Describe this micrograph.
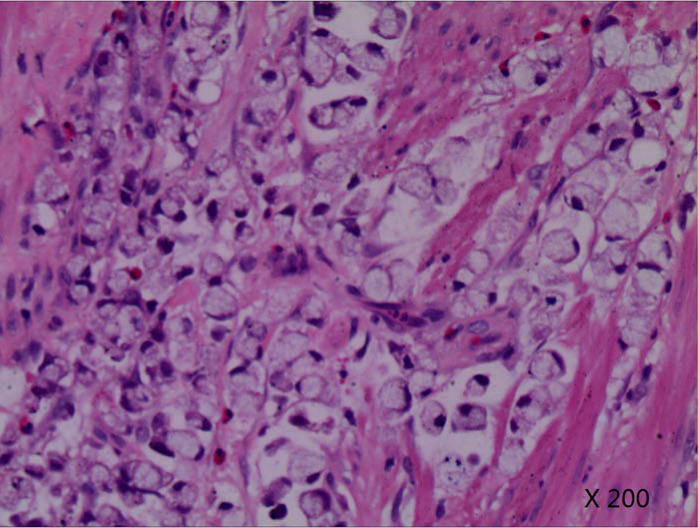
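These are infiltrating tumor cells of signet ring type lying between pink fibrous and muscle bundles. Most cells are rounded and filled by one large pale vacuole, which squeezes a dark, hyperchromatic nucleus into a crescent at one edge of the cell.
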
